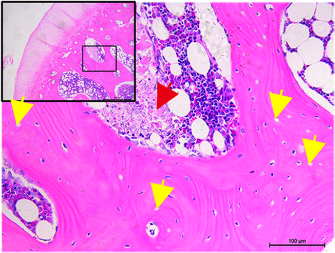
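This is bone with its marrow space: broad pink bone trabeculae containing osteocyte lacunae, several of which are empty, with no purple nucleus inside. The marrow space between them holds densely packed small cells with dark purple nuclei, next to a paler, granular area of necrotic debris. The low-power inset shows the joint-end cartilage over the subchondral bone.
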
